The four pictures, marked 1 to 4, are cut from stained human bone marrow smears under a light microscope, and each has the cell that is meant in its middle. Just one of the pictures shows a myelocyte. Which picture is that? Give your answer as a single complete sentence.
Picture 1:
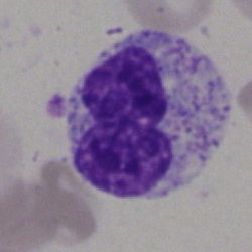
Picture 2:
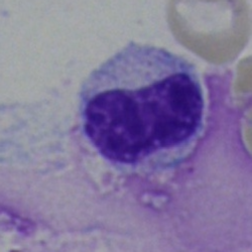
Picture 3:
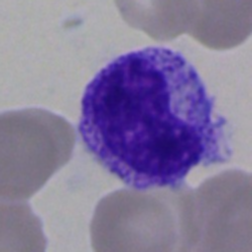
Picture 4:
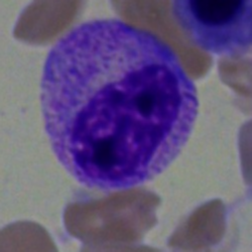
The picture with the myelocyte is 3.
